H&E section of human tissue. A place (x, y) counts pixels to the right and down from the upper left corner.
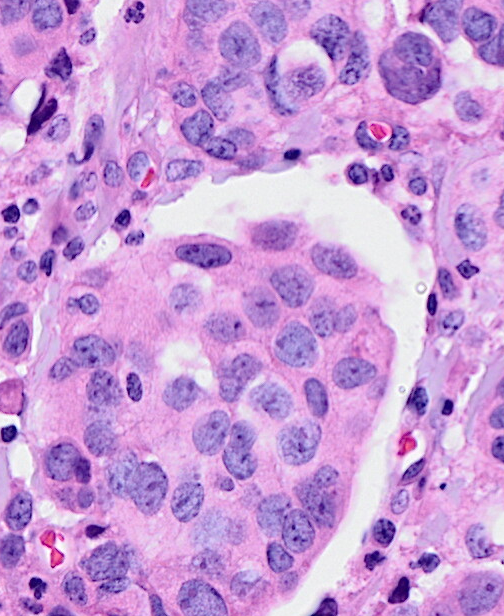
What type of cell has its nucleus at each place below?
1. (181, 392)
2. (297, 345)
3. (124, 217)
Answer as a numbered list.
1. carcinoma cell
2. carcinoma cell
3. lymphocyte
